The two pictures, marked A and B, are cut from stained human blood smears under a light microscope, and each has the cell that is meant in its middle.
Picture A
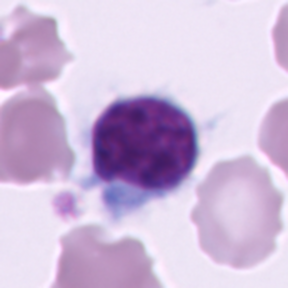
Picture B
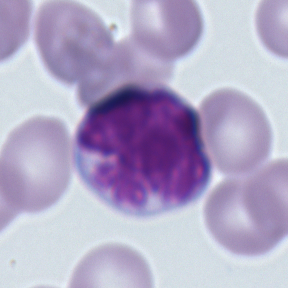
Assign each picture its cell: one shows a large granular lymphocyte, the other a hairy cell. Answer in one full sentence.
In picture A the cell is a hairy cell; in picture B, a large granular lymphocyte.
